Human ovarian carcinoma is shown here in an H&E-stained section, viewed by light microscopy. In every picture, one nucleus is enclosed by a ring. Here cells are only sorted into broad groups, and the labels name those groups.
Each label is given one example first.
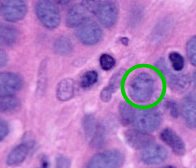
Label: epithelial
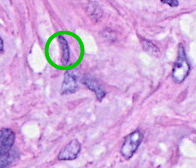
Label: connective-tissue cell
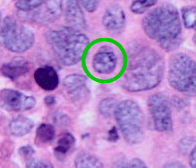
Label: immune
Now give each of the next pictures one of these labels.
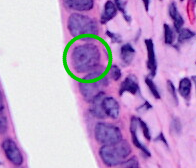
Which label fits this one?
epithelial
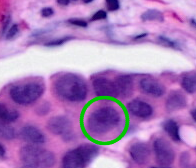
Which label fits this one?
epithelial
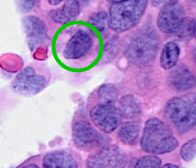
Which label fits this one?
epithelial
